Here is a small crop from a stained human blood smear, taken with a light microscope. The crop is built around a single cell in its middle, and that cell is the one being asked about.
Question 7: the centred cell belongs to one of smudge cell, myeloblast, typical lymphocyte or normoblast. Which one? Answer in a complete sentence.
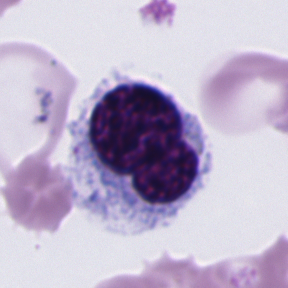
The center cell of this crop is a normoblast.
